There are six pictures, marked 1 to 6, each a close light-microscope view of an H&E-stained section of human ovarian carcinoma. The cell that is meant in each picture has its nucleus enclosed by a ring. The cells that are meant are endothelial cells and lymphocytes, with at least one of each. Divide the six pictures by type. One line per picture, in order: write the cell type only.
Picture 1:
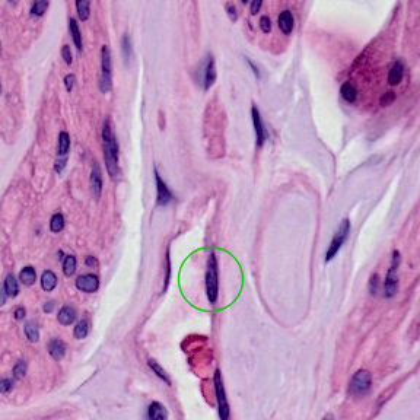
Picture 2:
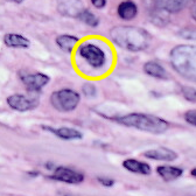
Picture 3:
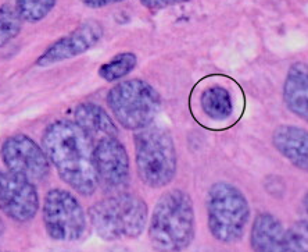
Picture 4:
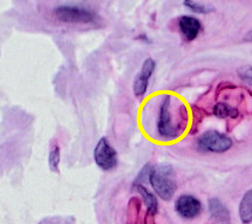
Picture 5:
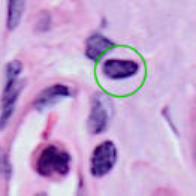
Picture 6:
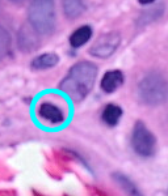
endothelial cell
lymphocyte
lymphocyte
endothelial cell
lymphocyte
lymphocyte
